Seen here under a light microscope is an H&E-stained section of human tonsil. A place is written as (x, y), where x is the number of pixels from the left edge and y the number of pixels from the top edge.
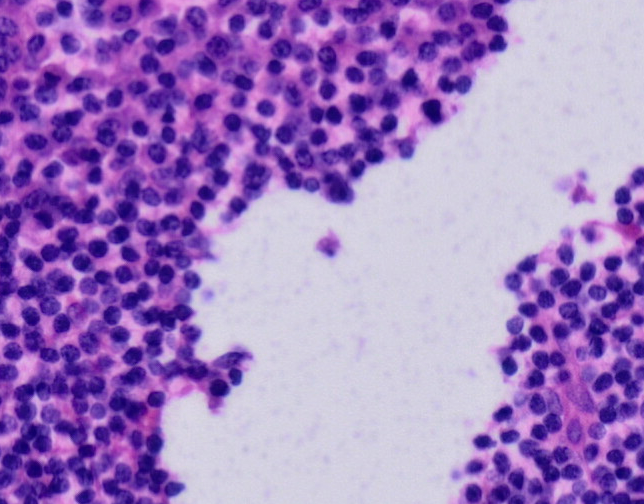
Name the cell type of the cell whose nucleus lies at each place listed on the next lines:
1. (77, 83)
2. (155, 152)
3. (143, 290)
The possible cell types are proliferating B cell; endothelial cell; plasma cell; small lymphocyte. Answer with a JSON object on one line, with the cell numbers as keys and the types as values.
{"1": "plasma cell", "2": "plasma cell", "3": "small lymphocyte"}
